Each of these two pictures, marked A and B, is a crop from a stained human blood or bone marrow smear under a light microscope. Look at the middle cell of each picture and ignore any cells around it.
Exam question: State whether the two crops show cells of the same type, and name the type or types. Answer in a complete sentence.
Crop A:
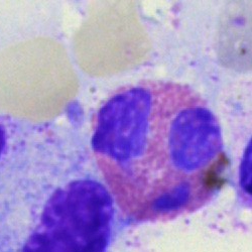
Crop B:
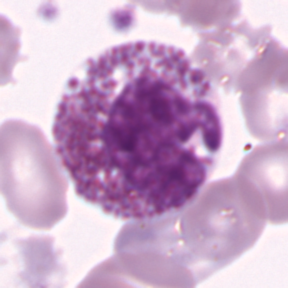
Yes, both crops show eosinophils as the central cells.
